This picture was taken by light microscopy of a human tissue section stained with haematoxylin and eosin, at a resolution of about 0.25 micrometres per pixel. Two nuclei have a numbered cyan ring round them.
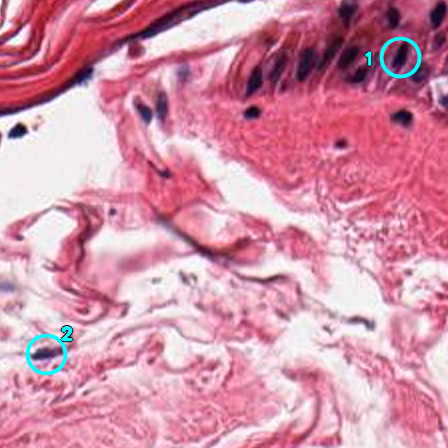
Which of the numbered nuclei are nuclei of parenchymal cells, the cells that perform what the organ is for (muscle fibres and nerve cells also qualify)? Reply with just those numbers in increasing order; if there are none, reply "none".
1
